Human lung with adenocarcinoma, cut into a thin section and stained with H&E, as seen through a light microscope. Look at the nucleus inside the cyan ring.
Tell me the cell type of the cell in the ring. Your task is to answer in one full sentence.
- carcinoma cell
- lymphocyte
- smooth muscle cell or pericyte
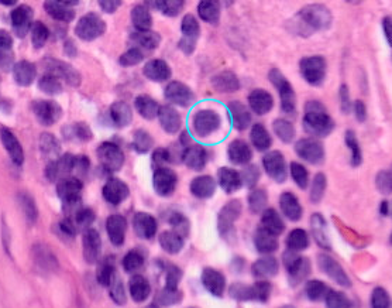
For the purposes of cell typing, the cell in the ring is categorized as a lymphocyte.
